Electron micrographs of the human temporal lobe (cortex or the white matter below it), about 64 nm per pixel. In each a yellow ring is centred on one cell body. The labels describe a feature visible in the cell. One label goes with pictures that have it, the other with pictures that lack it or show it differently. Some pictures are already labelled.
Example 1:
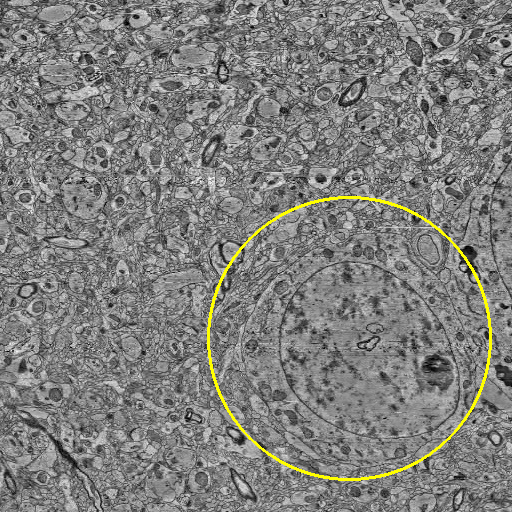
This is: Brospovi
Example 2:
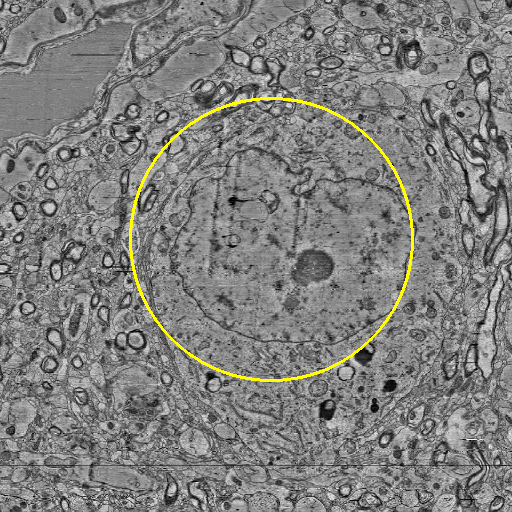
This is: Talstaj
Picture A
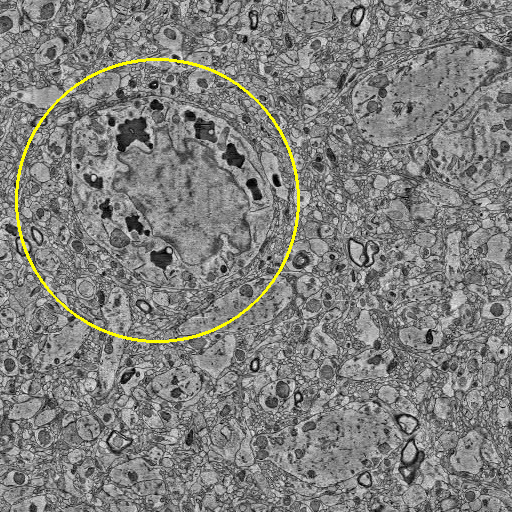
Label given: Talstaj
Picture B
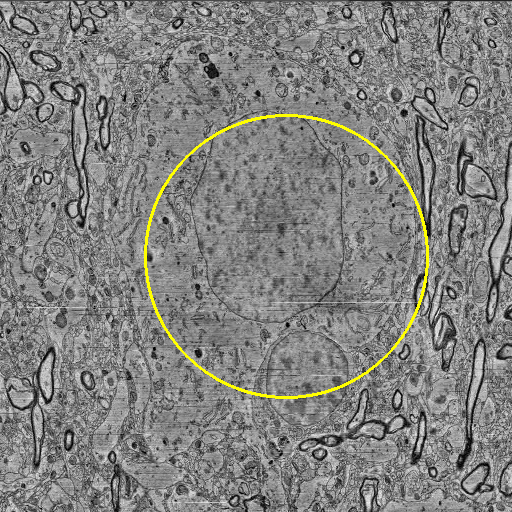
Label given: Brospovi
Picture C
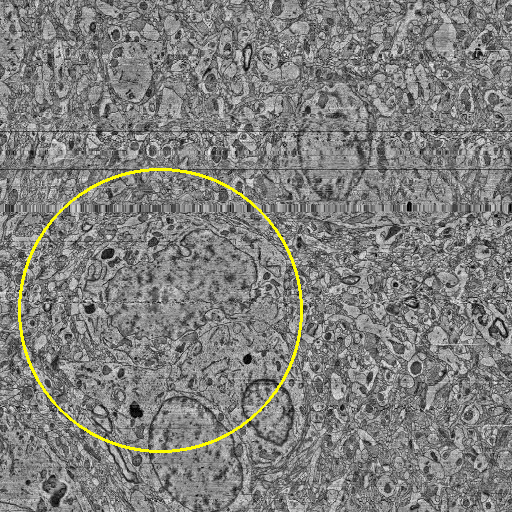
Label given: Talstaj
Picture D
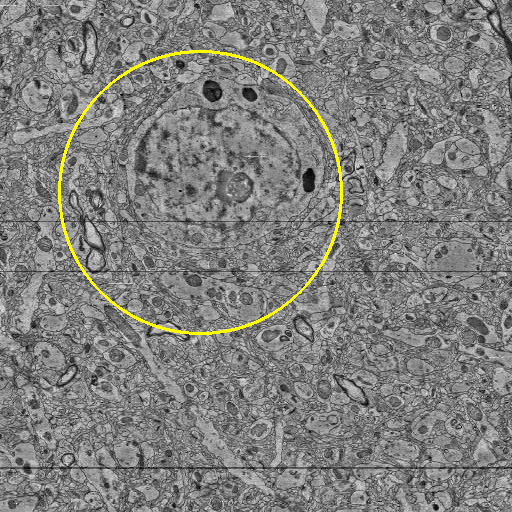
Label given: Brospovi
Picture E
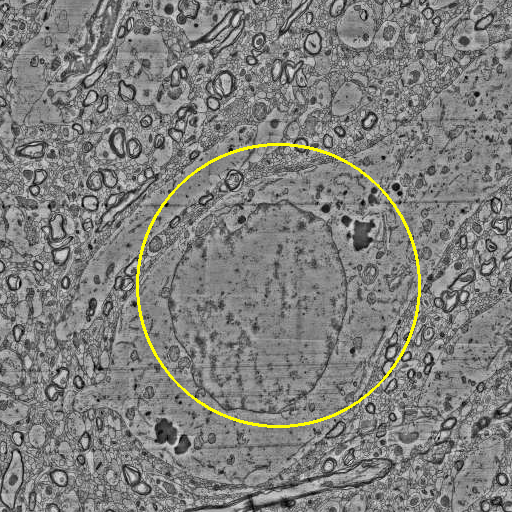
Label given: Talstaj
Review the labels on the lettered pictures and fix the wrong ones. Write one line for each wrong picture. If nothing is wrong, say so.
Wrong: E (Talstaj); correct: Brospovi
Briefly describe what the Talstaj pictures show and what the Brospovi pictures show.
Seen in Talstaj: deeply folded or indented nuclear envelopes; seen in Brospovi: smooth nuclear envelopes without deep folds.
